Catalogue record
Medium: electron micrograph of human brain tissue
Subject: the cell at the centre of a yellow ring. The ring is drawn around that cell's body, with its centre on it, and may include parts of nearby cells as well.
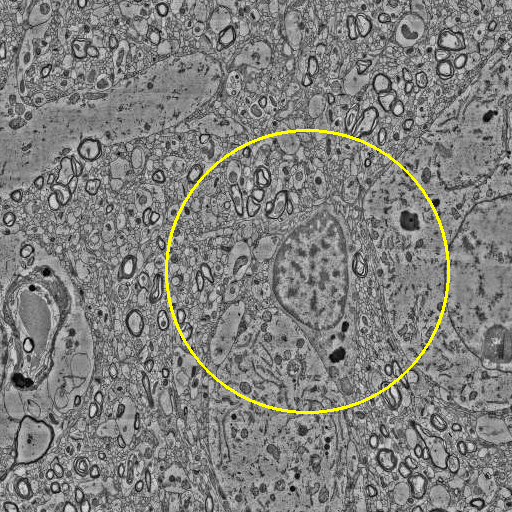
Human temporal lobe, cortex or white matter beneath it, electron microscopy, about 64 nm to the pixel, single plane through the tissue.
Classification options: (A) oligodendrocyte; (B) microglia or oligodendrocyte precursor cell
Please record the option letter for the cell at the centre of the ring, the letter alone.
A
